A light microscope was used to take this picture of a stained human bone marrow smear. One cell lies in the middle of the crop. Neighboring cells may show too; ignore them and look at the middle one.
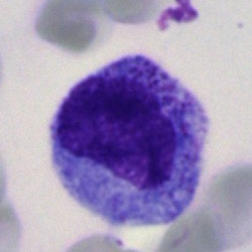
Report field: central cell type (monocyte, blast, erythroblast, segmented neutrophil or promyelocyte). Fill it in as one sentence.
In short, the cell at the center is a promyelocyte.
